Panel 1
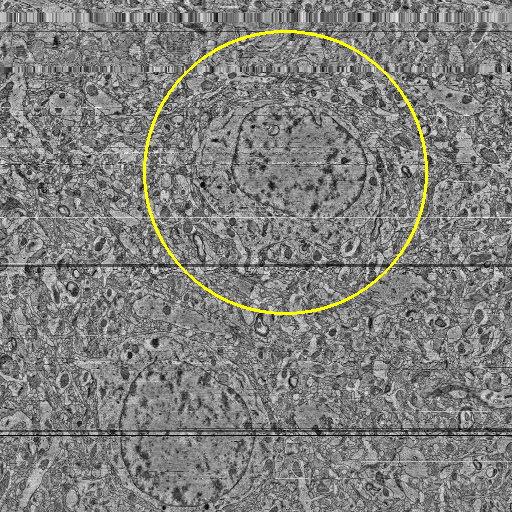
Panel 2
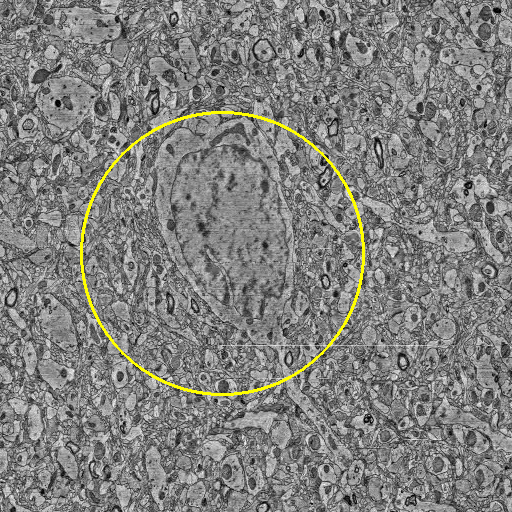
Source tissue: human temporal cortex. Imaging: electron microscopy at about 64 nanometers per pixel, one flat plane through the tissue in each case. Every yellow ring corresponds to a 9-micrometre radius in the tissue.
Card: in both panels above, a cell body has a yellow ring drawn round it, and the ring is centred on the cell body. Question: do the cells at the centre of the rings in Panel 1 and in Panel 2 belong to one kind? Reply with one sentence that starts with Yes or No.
No, the cells centred in the rings of Panel 1 and Panel 2 are two kinds of cell.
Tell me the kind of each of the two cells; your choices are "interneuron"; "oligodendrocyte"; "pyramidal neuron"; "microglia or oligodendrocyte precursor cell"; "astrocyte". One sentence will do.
The ringed cell is a pyramidal neuron in the first picture and an interneuron in the second picture.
